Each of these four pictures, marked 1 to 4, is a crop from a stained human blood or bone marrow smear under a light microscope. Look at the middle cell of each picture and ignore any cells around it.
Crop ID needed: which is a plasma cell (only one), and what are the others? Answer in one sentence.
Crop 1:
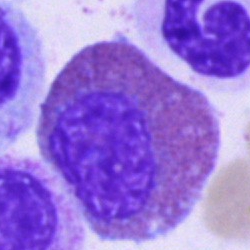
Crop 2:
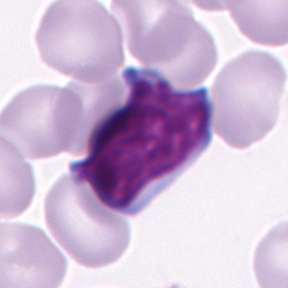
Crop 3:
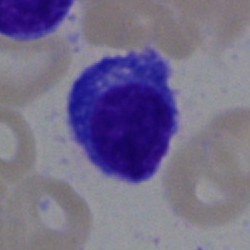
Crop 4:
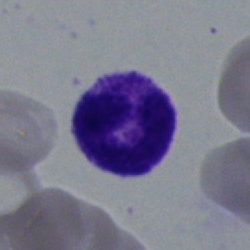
Crop 3 proves to be a plasma cell, while crop 1 is an eosinophil, crop 2 is a lymphocyte and crop 4 is a segmented neutrophil.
